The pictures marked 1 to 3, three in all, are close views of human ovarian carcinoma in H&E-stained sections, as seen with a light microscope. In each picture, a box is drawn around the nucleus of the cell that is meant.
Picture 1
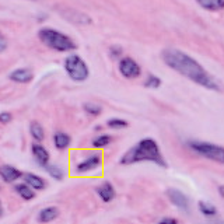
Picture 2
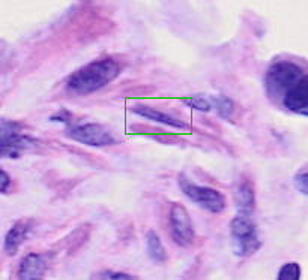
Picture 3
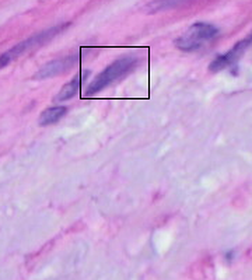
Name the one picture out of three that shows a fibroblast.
2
